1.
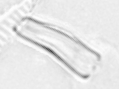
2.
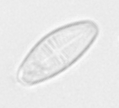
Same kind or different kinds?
Same: Achnanthidium.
